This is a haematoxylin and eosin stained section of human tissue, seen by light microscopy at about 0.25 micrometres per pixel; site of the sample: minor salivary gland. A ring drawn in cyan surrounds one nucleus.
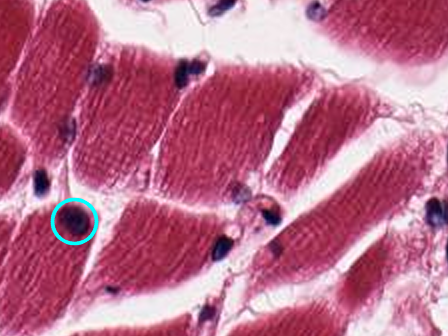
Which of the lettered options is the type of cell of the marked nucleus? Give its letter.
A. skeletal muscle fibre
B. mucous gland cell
A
